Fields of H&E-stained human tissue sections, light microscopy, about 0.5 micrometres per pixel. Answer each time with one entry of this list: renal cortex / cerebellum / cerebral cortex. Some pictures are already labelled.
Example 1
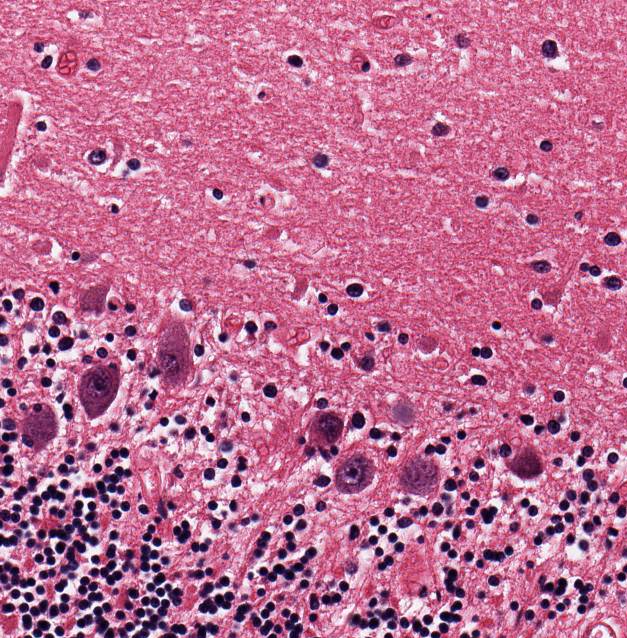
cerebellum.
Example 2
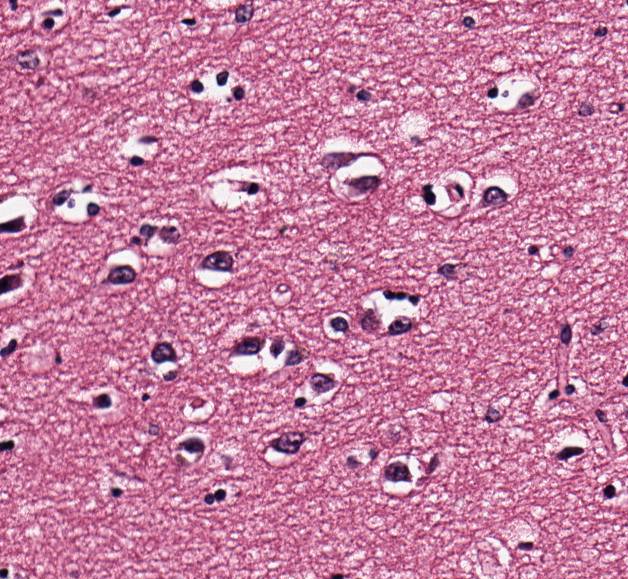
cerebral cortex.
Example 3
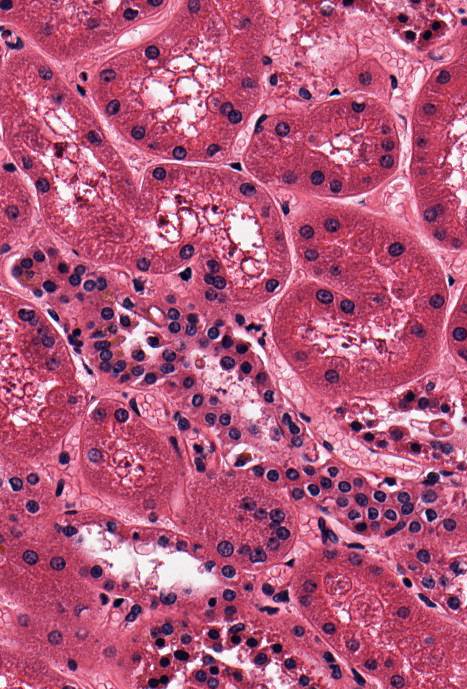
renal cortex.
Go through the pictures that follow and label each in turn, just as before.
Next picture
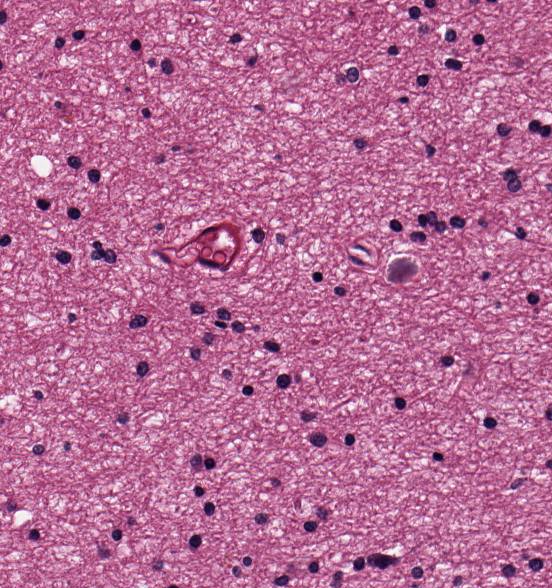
cerebral cortex.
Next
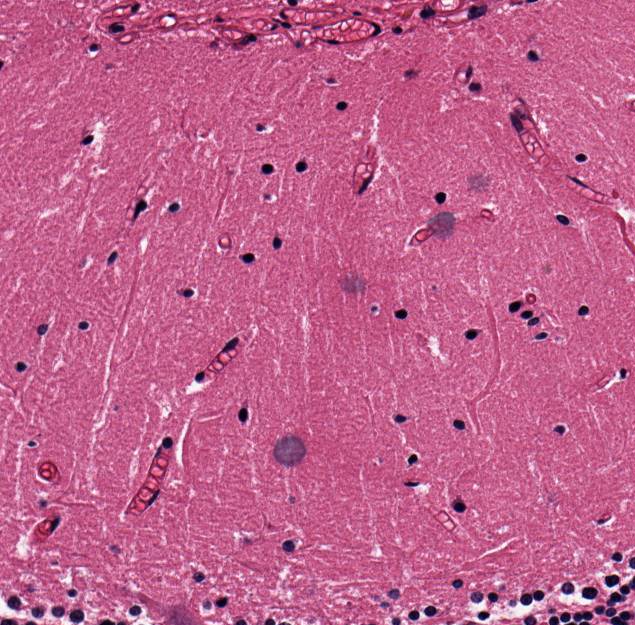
cerebellum.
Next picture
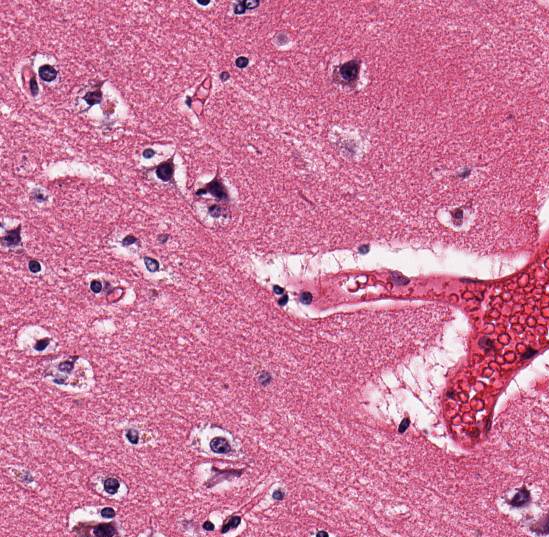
cerebral cortex.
